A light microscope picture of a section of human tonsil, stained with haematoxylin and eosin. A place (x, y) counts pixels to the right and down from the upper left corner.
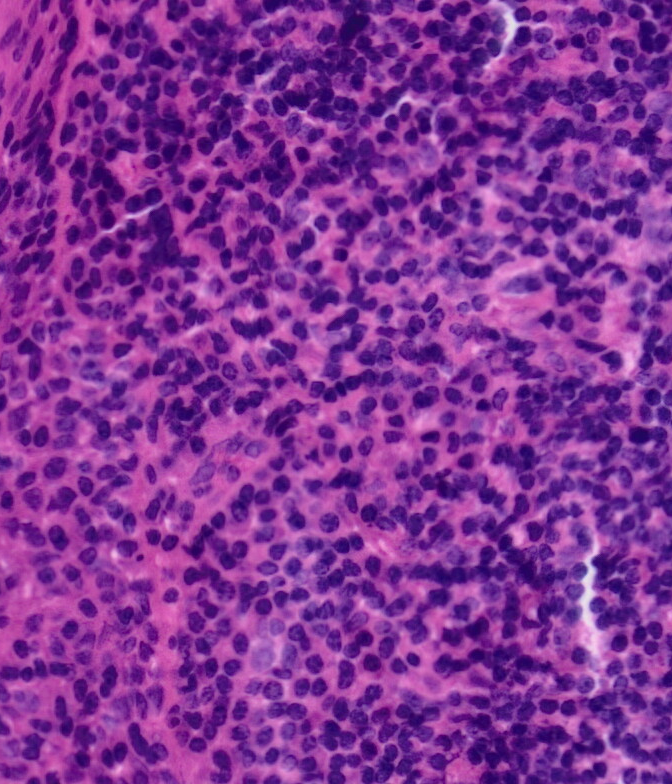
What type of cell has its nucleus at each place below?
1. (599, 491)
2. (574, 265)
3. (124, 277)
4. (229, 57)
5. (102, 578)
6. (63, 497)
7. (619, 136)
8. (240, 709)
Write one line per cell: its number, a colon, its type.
1: small lymphocyte
2: small lymphocyte
3: plasma cell
4: small lymphocyte
5: squamous epithelial cell
6: squamous epithelial cell
7: small lymphocyte
8: plasma cell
